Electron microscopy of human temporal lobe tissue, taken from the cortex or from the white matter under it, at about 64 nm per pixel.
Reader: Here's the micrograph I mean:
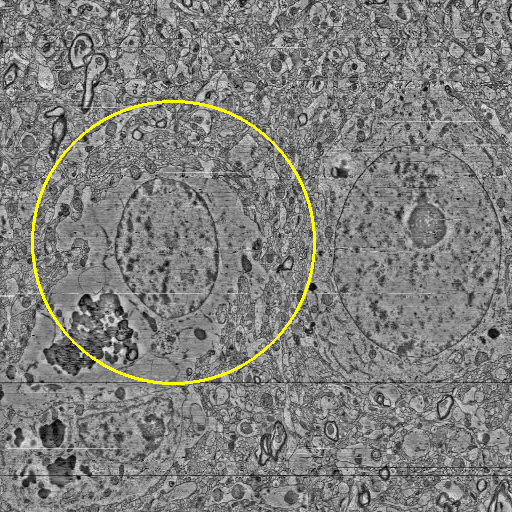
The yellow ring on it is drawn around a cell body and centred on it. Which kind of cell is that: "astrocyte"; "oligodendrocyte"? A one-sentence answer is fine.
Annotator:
The ring is centred on an astrocyte.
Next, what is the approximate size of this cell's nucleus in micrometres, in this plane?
In this plane, roughly 9 by 7 micrometres.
